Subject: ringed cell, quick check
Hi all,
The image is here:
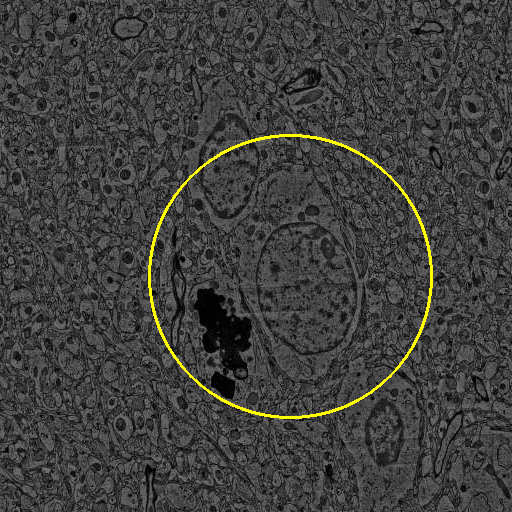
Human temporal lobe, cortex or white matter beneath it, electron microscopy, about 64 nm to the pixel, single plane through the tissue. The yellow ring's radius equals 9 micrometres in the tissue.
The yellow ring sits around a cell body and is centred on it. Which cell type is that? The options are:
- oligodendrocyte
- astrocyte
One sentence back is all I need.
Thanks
That ringed cell is an astrocyte.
